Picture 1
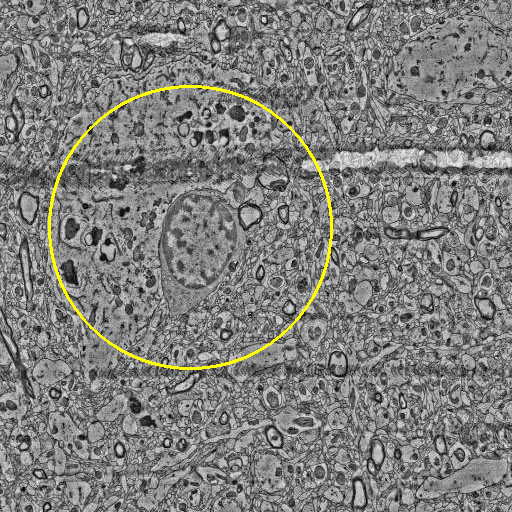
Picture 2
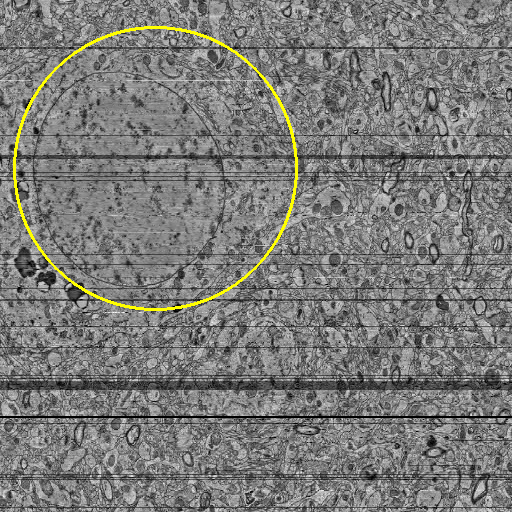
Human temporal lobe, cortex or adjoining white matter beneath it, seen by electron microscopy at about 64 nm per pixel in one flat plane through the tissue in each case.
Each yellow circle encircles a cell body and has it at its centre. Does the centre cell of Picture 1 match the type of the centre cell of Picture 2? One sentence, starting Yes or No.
No, the cell centred in Picture 1 and the one in Picture 2 have separate types.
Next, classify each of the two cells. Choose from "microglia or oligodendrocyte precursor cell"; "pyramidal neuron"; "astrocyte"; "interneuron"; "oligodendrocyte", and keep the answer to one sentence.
In the first picture it is an oligodendrocyte; in the second it is a pyramidal neuron.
